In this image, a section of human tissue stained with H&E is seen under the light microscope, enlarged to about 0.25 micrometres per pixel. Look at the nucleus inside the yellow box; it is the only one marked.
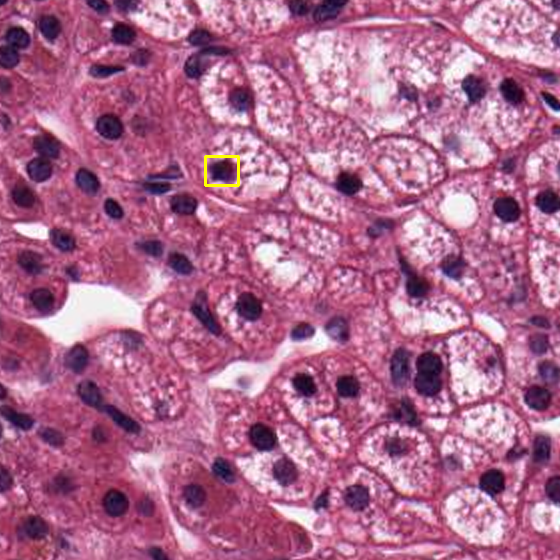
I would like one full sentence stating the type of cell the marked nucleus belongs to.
Here the marked nucleus belongs to an adrenal cortical cell.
